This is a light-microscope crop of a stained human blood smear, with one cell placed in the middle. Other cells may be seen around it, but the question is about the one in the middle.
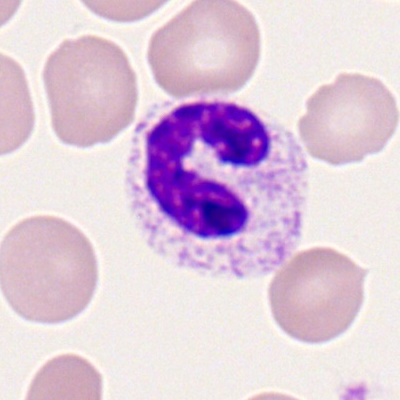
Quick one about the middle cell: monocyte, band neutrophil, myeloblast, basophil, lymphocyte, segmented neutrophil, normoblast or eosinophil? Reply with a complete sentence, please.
The center cell of this crop is a band neutrophil.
